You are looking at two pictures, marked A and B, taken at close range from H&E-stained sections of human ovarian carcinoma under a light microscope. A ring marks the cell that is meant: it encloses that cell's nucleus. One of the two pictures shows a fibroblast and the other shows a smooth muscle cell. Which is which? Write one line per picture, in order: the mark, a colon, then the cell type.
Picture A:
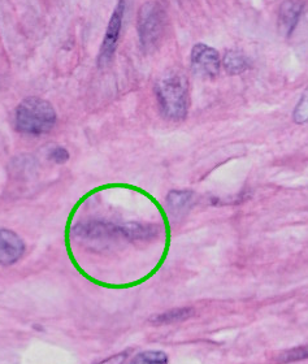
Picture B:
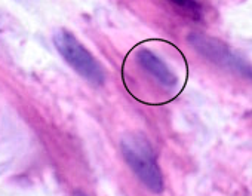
A: fibroblast
B: smooth muscle cell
